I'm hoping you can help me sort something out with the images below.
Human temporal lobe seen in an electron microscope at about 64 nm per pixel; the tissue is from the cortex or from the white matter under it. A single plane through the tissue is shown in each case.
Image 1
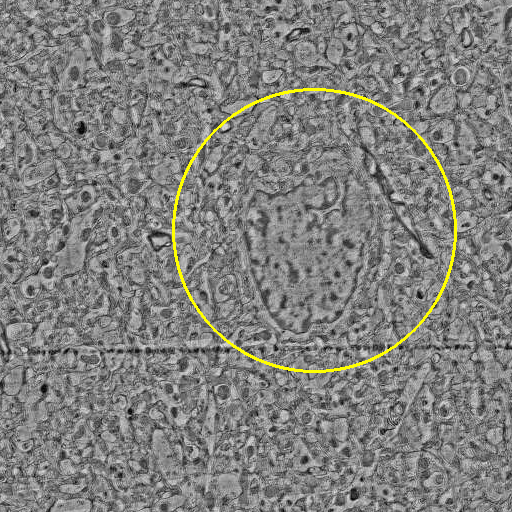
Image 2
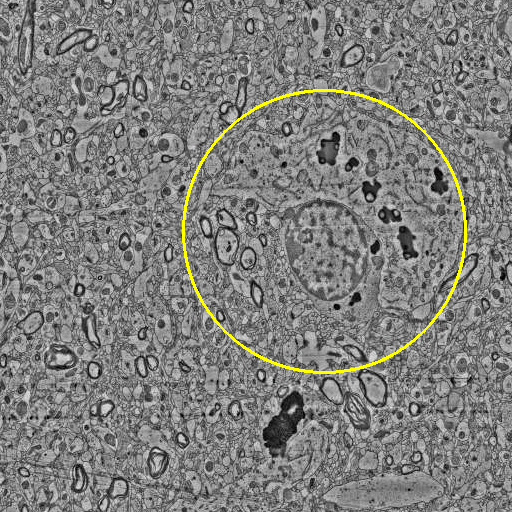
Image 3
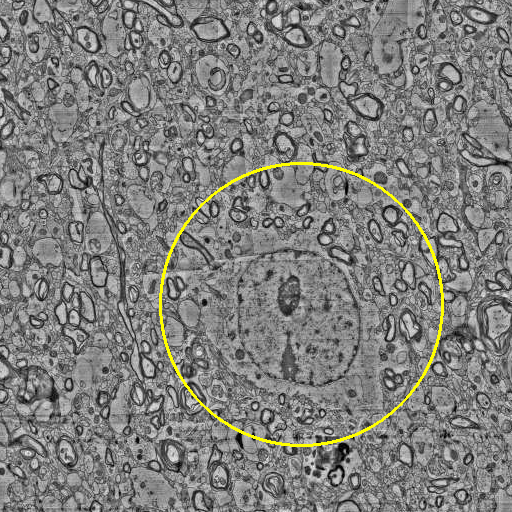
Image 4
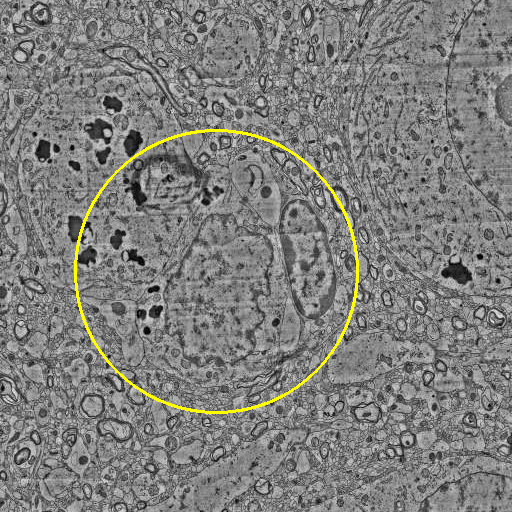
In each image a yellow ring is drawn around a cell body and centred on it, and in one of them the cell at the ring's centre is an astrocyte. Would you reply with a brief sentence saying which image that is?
In Image 3, the cell at the centre of the ring is the one you asked about.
